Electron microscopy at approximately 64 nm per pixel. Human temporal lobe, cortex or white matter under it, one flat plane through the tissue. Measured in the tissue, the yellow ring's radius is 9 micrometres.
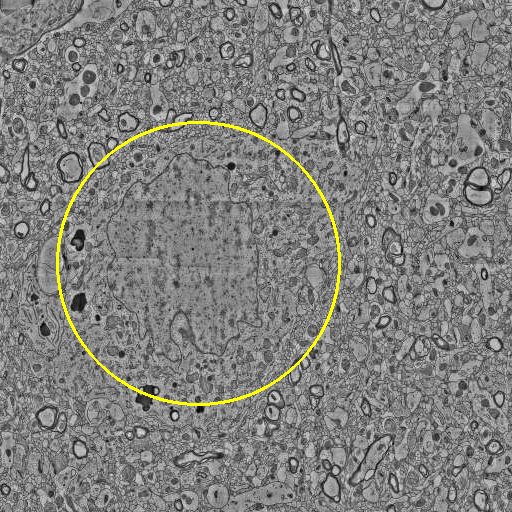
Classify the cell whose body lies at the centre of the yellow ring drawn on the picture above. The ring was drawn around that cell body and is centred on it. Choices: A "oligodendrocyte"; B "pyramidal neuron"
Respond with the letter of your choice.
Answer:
B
